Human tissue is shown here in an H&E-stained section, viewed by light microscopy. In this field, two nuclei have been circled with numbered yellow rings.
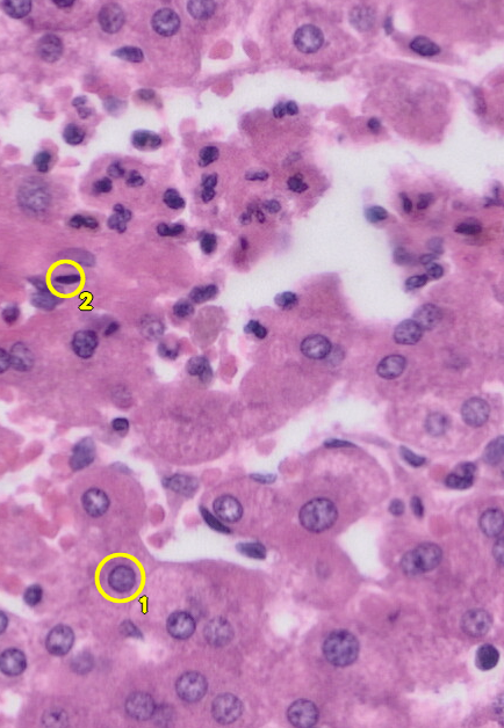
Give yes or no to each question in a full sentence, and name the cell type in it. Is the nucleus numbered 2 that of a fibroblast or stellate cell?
Yes, the cell that number 2 points to is a fibroblast or stellate cell.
